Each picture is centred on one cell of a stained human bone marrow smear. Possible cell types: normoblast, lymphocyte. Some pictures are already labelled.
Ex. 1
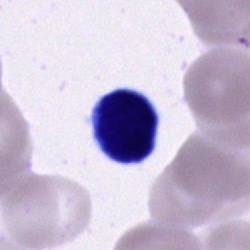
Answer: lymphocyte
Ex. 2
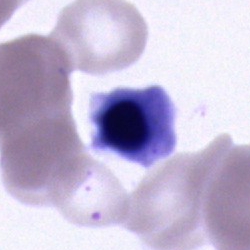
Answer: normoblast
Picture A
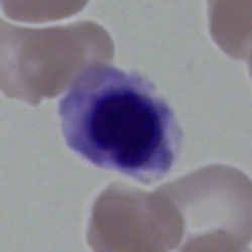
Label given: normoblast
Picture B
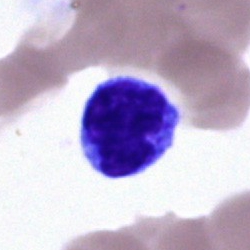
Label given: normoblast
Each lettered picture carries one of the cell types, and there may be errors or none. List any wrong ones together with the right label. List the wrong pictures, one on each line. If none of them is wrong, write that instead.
B should be lymphocyte, not normoblast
